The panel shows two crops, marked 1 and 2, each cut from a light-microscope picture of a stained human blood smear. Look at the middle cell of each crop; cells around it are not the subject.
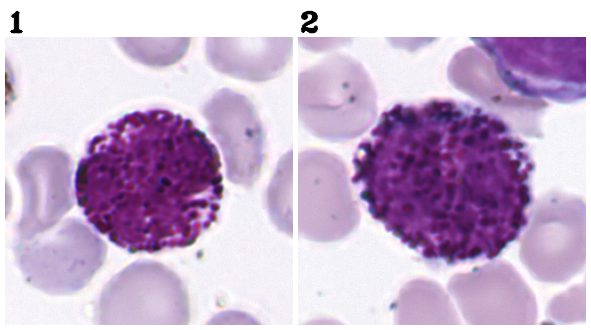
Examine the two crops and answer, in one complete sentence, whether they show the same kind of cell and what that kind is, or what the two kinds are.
Yes, both crops depict basophils at the centre.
